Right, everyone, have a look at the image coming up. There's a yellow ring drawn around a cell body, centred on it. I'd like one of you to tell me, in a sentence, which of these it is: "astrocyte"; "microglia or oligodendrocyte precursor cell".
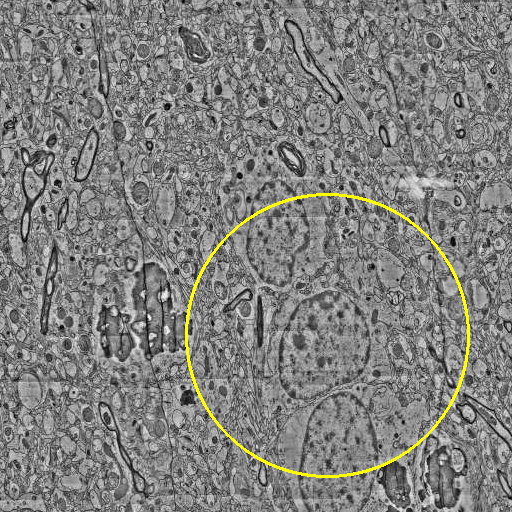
The yellow ring sits on an astrocyte.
